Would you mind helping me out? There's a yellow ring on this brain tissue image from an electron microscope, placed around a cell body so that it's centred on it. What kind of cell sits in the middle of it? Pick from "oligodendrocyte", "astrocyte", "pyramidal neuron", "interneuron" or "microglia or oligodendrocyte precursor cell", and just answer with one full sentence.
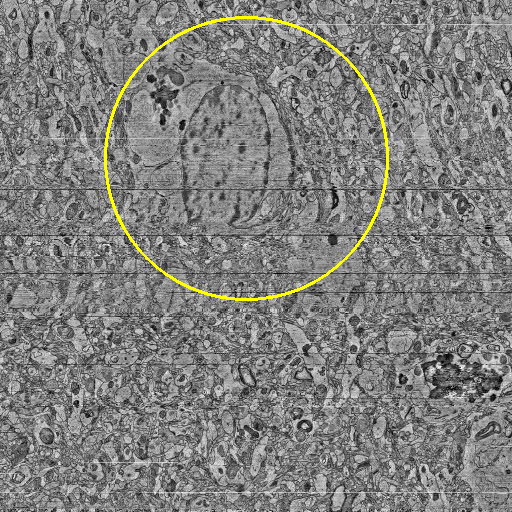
What sits in the middle of that yellow ring is an astrocyte, from your choices.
